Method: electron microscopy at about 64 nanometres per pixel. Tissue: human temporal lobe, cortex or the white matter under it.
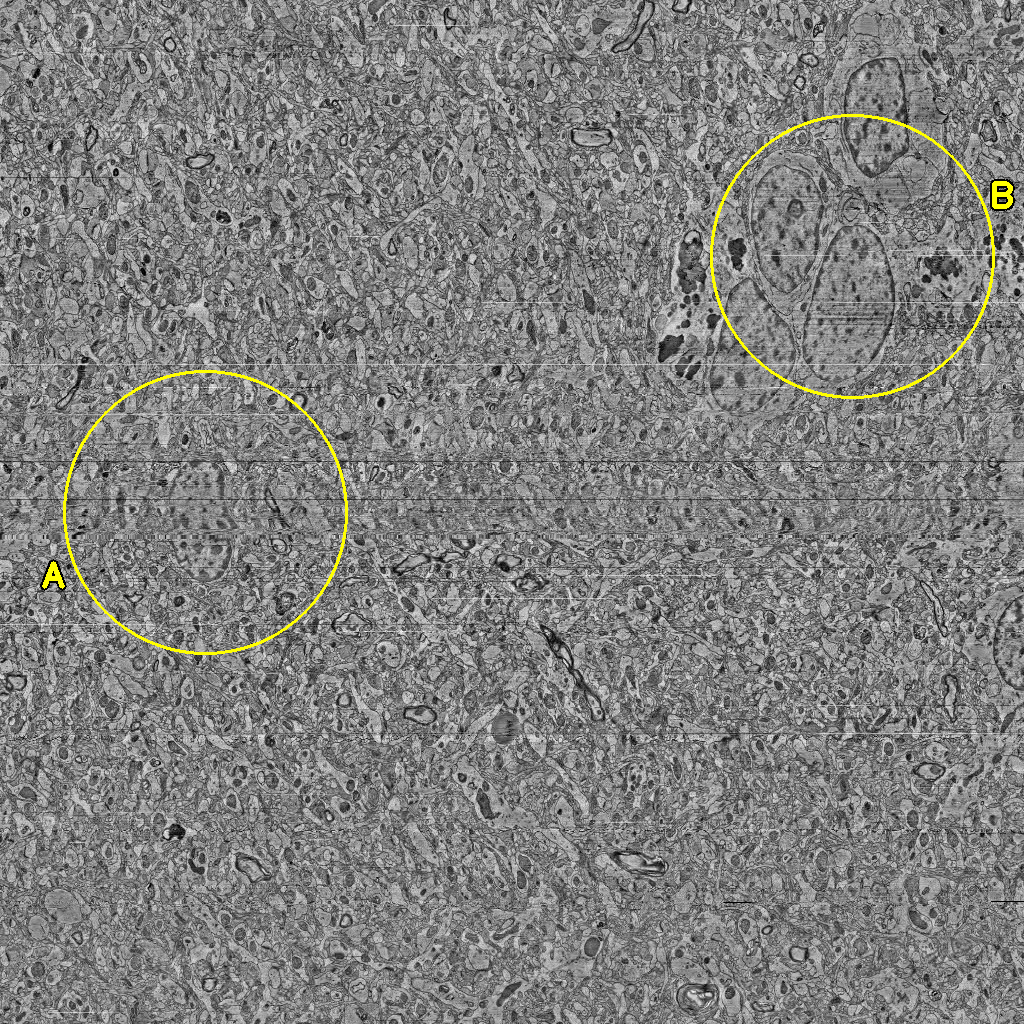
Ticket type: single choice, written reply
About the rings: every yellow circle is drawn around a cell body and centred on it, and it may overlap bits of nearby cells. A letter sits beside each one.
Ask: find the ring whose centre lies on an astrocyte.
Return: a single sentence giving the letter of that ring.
At the centre of the ring marked B lies the cell asked for.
